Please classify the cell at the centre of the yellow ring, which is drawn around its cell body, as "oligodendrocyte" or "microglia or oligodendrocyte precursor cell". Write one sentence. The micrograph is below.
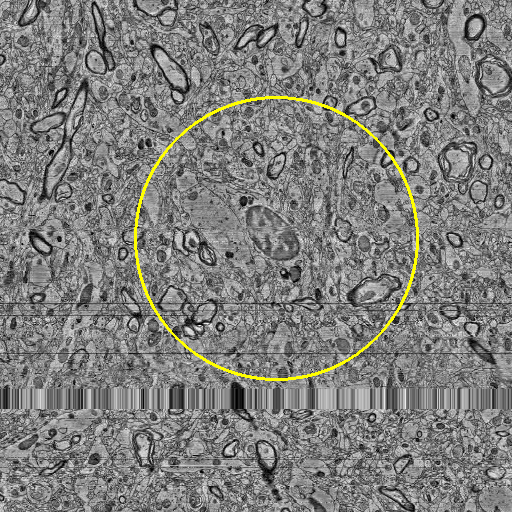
The cell at the ring's centre is classified as a microglial cell or oligodendrocyte precursor cell.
